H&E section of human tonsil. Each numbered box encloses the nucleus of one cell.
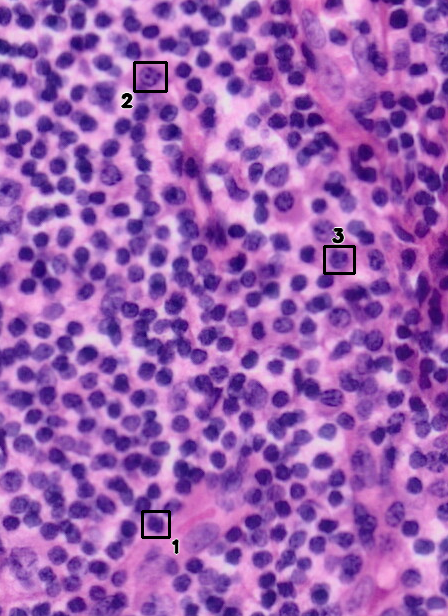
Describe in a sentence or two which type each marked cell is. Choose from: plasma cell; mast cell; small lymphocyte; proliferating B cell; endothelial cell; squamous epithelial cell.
Cell 1 is an endothelial cell. Cells 2 and 3 are plasma cells.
